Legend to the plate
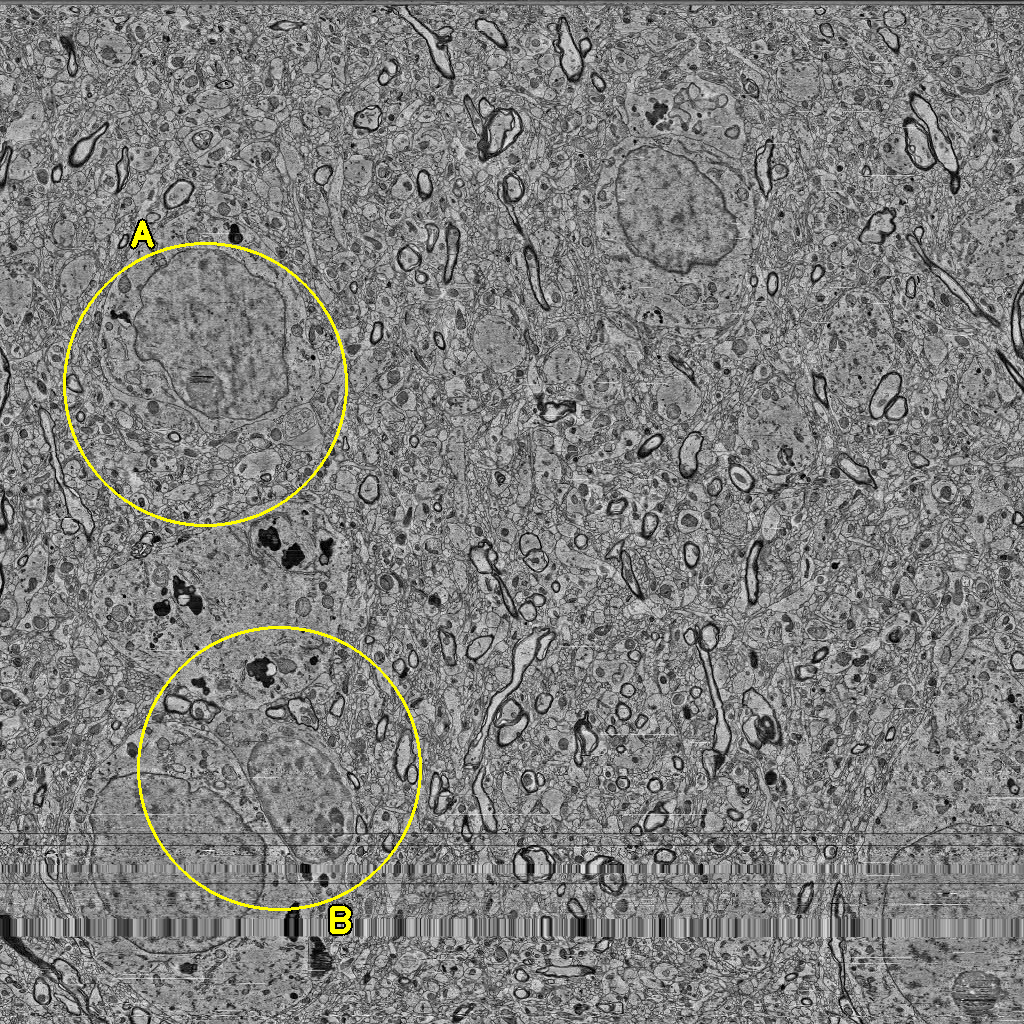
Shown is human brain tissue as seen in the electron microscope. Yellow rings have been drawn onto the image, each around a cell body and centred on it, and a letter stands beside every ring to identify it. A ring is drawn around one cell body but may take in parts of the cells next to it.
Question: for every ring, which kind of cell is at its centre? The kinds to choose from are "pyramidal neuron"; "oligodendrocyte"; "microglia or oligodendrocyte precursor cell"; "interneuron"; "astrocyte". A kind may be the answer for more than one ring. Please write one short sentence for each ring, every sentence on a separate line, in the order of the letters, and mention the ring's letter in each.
The kind of cell at the centre of ring A is a pyramidal neuron.
The kind of cell at the centre of ring B is an oligodendrocyte.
